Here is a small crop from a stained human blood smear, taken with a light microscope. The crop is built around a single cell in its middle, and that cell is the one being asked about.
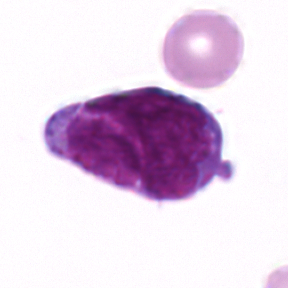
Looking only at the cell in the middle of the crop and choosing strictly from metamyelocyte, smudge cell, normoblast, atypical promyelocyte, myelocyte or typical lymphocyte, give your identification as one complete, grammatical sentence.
Looking at the middle of the crop, the cell there is an atypical promyelocyte.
